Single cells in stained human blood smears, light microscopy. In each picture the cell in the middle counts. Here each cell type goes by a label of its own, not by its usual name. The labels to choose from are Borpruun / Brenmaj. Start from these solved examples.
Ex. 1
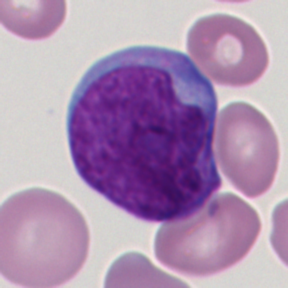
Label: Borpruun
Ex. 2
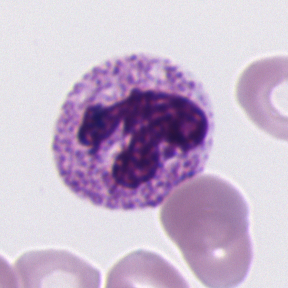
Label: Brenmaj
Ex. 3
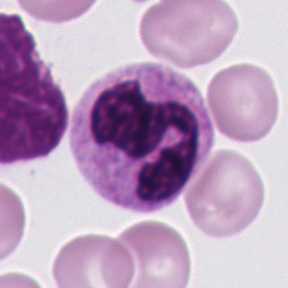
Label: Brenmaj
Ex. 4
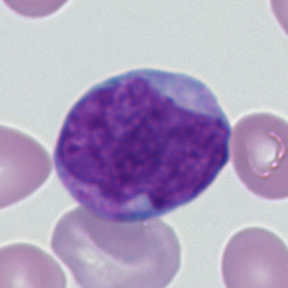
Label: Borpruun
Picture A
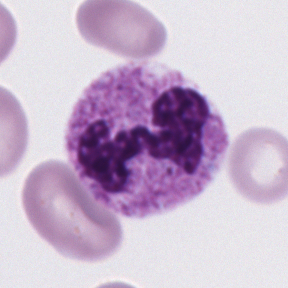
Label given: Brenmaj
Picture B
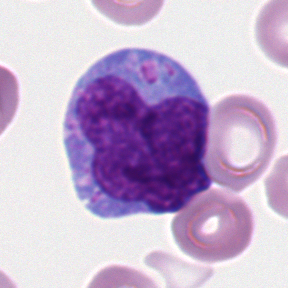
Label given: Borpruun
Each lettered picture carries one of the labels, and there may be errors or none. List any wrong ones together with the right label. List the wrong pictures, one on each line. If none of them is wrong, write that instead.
None of the labels needs changing.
